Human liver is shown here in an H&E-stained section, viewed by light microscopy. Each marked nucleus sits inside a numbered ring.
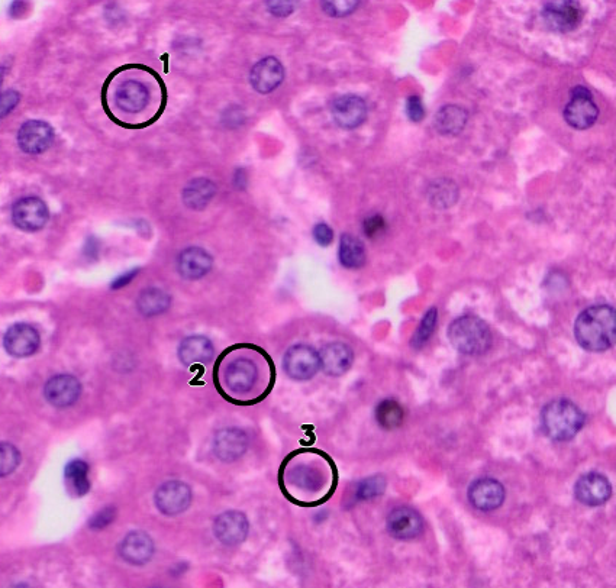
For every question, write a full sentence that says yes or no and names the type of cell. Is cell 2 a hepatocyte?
Yes, the cell with the number 2 is a hepatocyte.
